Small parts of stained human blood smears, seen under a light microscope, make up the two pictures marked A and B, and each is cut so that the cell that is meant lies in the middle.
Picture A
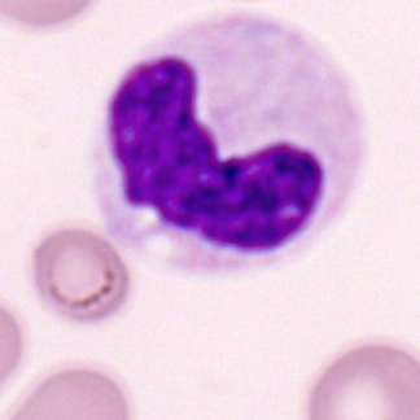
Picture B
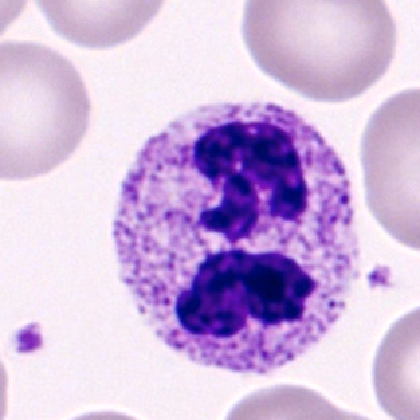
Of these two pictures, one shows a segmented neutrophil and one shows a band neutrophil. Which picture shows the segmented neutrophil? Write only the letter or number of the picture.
B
